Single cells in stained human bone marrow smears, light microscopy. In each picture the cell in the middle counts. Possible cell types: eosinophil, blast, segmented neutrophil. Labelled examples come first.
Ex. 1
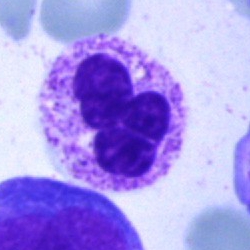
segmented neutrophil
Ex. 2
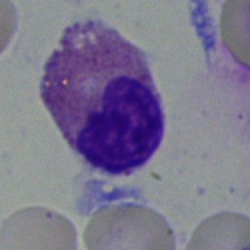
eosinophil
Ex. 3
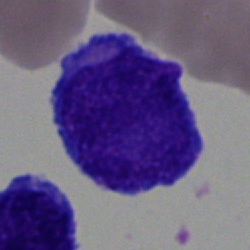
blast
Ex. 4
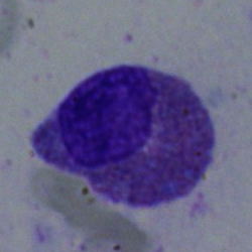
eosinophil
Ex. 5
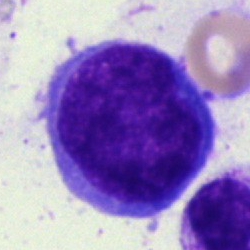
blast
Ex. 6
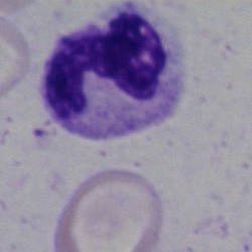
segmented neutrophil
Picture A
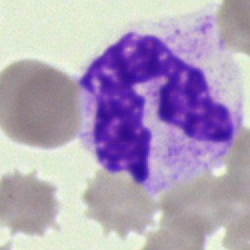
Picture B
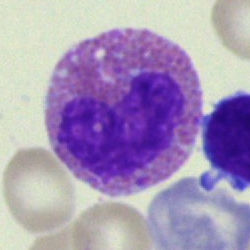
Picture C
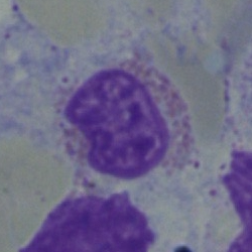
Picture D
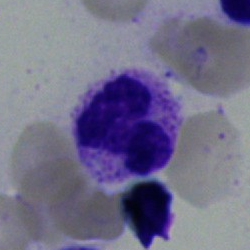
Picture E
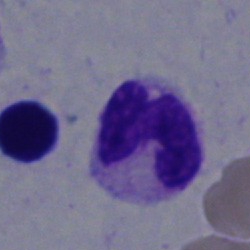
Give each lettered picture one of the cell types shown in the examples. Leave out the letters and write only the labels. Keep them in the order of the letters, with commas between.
segmented neutrophil, eosinophil, eosinophil, segmented neutrophil, segmented neutrophil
